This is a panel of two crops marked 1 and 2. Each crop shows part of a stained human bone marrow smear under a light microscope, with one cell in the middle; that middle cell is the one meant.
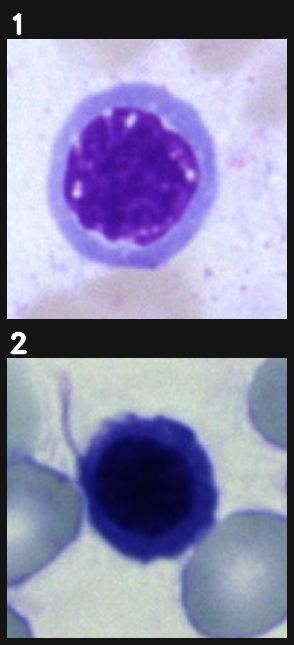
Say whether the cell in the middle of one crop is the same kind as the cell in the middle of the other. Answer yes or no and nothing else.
yes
